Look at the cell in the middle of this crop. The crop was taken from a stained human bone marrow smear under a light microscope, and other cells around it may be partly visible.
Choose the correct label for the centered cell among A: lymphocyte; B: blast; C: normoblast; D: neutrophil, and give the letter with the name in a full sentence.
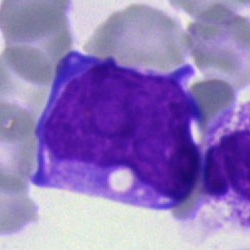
Option B is the correct option, with the middle cell being a blast.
